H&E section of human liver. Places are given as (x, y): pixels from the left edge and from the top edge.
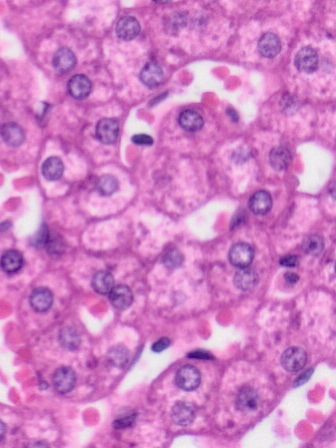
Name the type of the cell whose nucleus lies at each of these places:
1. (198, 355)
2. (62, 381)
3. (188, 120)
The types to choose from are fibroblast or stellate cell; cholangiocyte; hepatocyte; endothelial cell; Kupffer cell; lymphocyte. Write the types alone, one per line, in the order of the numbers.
fibroblast or stellate cell
hepatocyte
hepatocyte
